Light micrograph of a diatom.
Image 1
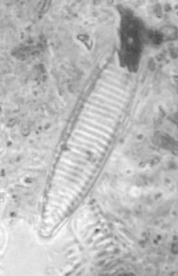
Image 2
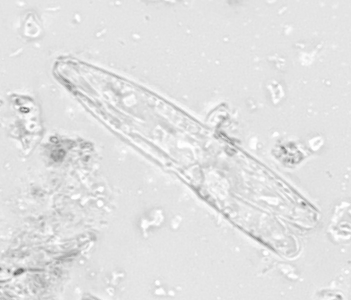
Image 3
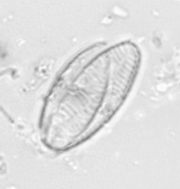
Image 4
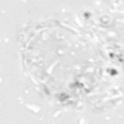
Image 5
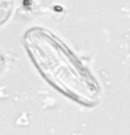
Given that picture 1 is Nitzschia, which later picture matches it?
2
